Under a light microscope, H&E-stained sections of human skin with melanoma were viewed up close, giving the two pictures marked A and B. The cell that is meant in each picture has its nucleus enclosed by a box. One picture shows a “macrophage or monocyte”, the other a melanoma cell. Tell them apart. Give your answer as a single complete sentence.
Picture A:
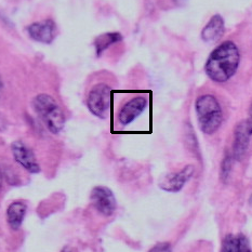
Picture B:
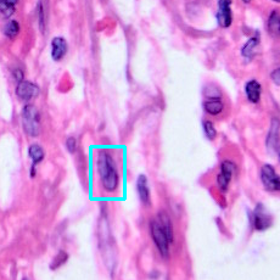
Picture A shows a melanoma cell and picture B shows a “macrophage or monocyte”.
